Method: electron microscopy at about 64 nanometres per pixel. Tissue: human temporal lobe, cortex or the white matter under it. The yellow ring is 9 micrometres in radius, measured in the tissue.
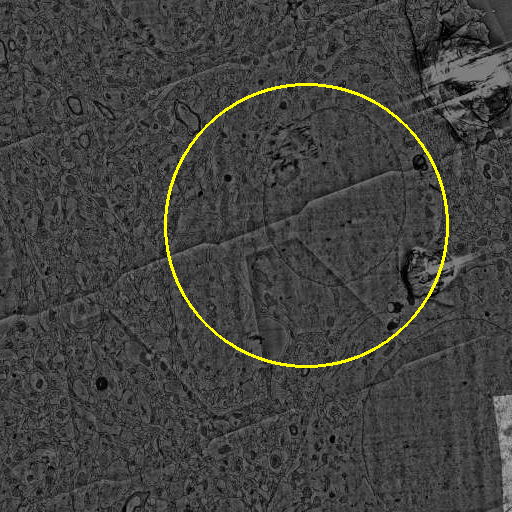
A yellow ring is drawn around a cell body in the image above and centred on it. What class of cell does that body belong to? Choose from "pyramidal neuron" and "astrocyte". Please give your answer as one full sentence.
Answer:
The yellow ring above is centred on the cell body of a pyramidal neuron.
